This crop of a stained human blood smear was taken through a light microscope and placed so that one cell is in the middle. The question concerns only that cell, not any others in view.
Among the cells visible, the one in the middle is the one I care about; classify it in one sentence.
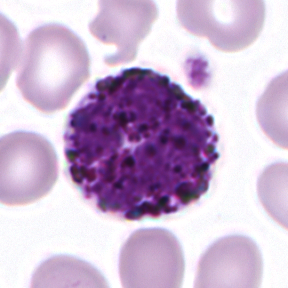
Among the cells in view, the one in the middle is a basophil.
